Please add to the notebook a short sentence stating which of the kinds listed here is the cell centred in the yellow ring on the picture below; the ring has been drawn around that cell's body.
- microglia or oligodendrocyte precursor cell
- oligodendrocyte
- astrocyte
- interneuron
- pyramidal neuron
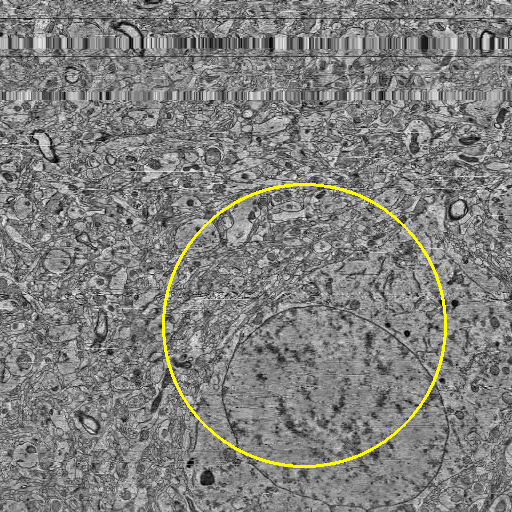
The cell centred in the yellow ring is a pyramidal neuron.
